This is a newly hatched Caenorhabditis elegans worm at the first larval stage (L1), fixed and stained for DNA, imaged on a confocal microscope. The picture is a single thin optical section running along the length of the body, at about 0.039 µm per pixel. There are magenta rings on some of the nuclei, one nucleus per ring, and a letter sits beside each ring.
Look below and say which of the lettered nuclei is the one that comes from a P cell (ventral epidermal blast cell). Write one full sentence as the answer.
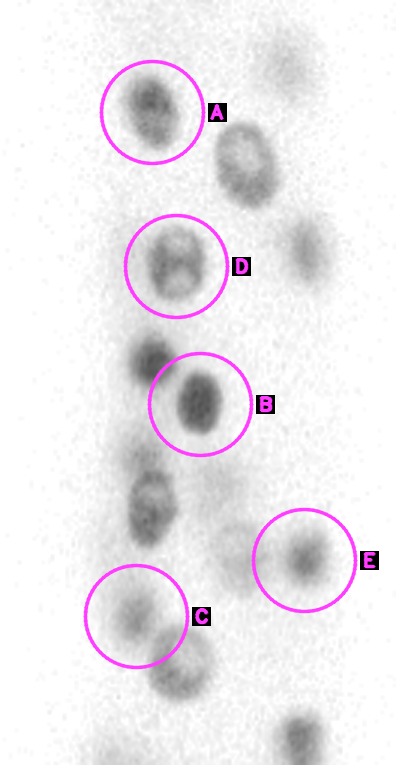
A is from a P cell (ventral epidermal blast cell).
